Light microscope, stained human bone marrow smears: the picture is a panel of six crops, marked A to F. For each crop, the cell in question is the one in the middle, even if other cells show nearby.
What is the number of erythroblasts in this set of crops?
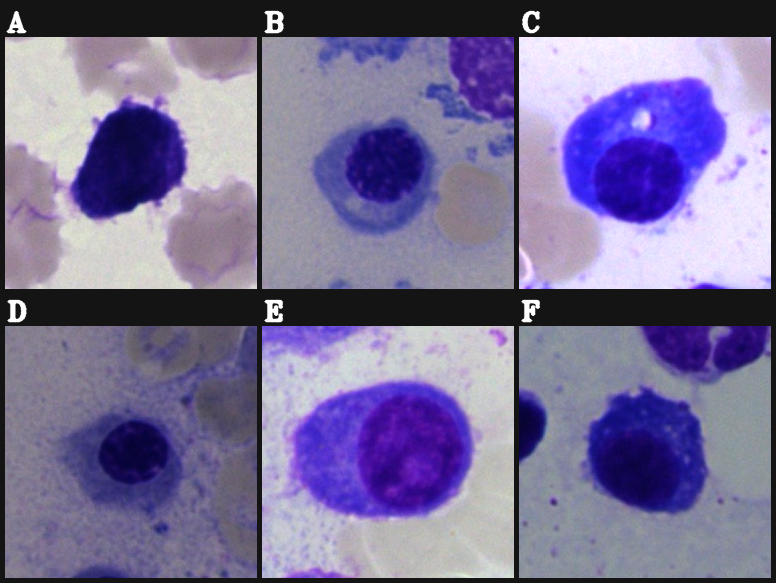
2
